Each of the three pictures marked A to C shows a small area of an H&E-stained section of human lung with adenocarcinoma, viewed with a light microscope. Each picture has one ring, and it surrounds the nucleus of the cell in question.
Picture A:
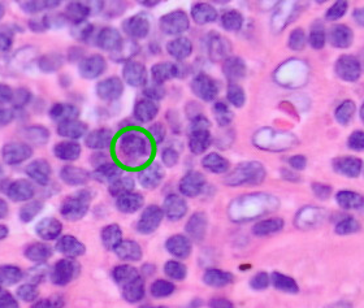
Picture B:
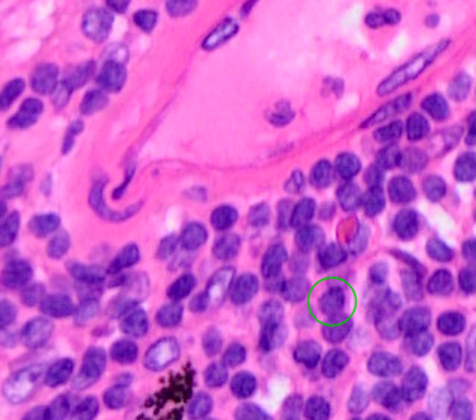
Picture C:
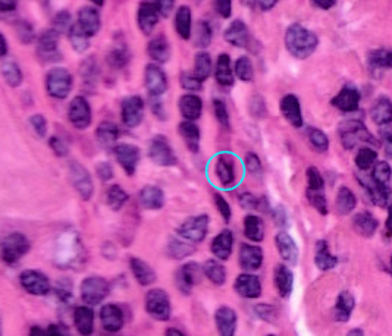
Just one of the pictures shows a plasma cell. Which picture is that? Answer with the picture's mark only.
C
